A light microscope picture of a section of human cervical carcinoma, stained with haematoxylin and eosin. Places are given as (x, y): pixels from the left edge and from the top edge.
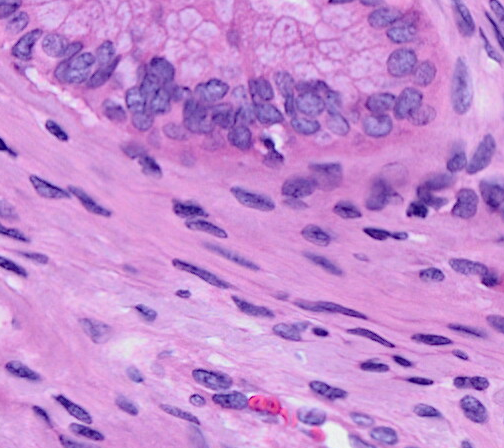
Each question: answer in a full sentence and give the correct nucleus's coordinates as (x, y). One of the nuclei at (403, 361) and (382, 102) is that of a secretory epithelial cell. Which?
Of the two nuclei, the nucleus of a secretory epithelial cell is at (382, 102).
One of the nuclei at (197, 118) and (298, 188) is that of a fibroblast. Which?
The cell to which the nucleus at (298, 188) belongs is a fibroblast.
